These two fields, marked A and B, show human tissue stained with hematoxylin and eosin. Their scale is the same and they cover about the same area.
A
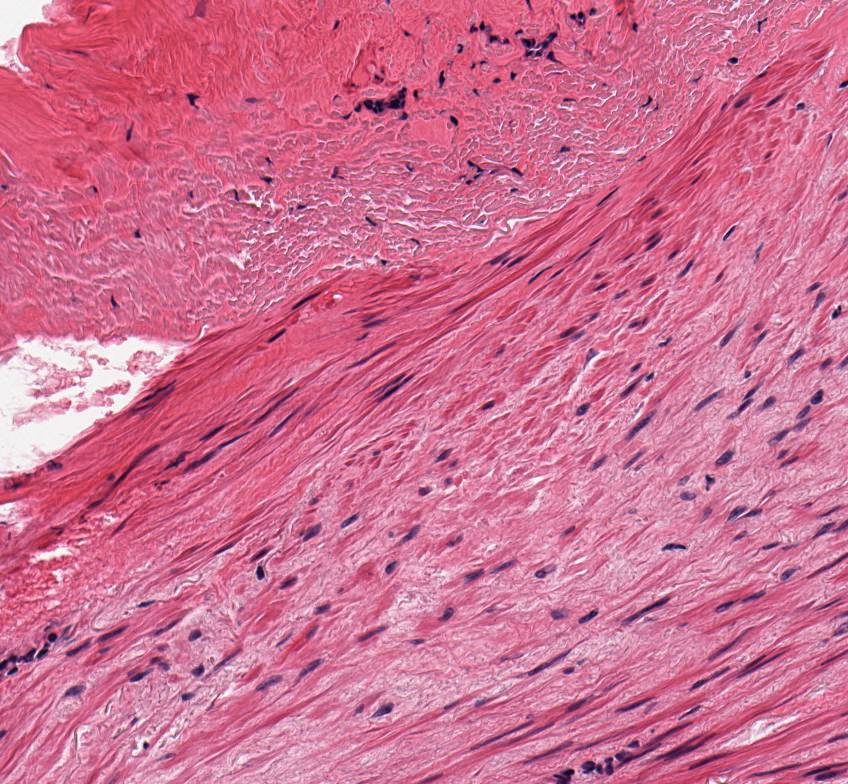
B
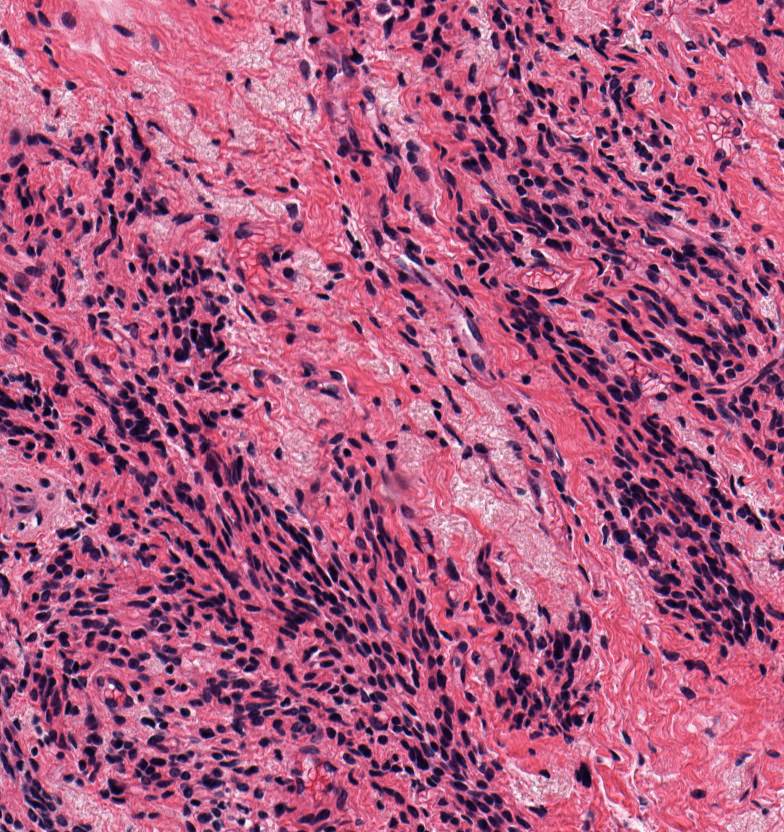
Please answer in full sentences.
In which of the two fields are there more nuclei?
Picture B holds more nuclei than picture A.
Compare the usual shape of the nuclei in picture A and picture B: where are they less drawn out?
The nuclei are rounder in picture B.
